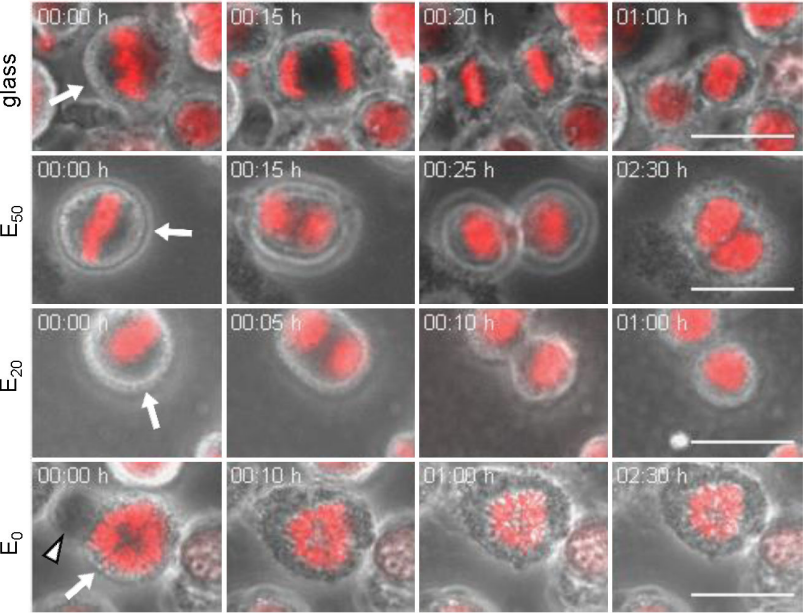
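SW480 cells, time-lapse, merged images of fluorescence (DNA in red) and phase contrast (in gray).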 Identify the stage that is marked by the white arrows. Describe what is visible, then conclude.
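The arrowed cells are rounded and phase-bright at their rim. In several rows the red mass later splits into two.
Hence: mitotic cell.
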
